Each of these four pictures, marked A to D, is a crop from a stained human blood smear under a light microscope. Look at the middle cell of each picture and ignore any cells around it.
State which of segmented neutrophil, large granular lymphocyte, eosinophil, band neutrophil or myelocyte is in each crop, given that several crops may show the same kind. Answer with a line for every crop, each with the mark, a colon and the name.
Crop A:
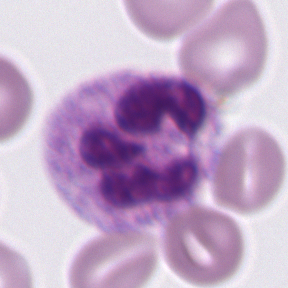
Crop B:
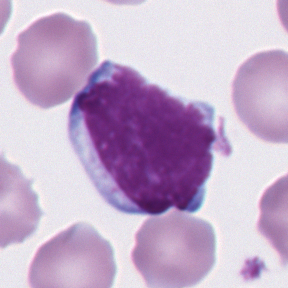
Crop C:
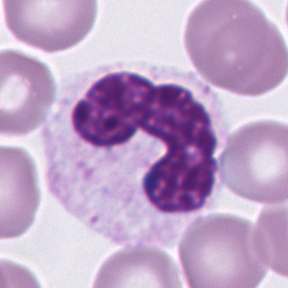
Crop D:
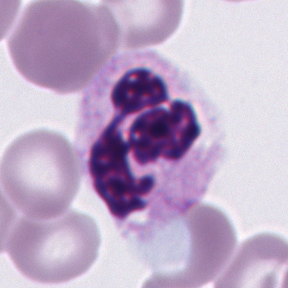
A: segmented neutrophil
B: large granular lymphocyte
C: band neutrophil
D: segmented neutrophil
